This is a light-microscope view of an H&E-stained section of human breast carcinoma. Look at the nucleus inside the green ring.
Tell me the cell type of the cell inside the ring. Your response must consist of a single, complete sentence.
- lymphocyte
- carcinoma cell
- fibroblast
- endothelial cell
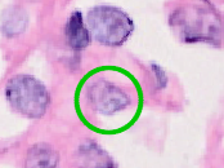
As for its identity, the cell inside the ring is a carcinoma cell.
